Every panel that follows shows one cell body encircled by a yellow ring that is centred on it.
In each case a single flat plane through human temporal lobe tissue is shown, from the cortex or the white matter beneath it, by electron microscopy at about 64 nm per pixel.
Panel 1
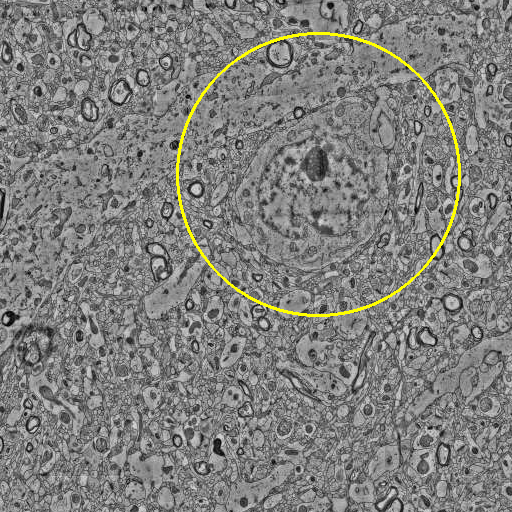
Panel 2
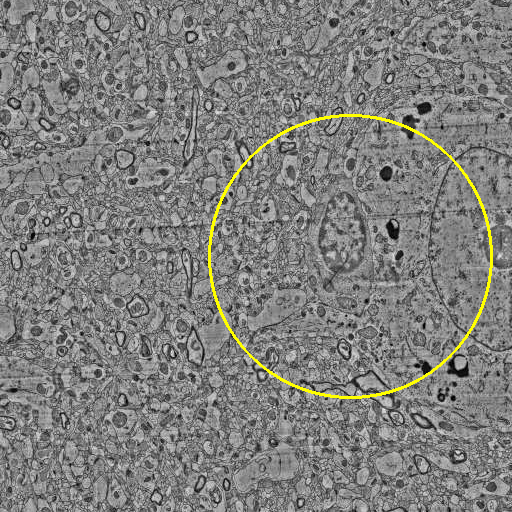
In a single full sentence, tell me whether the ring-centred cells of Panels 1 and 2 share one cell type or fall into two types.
In Panel 1 and Panel 2, the cells at the ring centres fall into two types.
